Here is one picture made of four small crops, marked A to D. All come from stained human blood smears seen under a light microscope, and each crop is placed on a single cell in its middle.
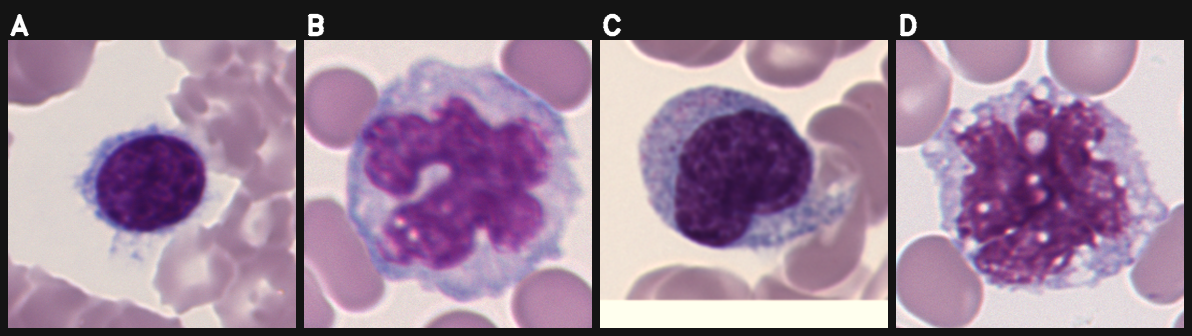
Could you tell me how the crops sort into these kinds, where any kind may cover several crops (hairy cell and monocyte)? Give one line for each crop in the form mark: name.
A: hairy cell
B: monocyte
C: monocyte
D: monocyte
